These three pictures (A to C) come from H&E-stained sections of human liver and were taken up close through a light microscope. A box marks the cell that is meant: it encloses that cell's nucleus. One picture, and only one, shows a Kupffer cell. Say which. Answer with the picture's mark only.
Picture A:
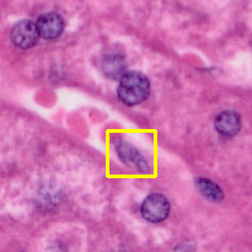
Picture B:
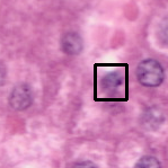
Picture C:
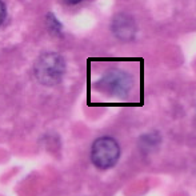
A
